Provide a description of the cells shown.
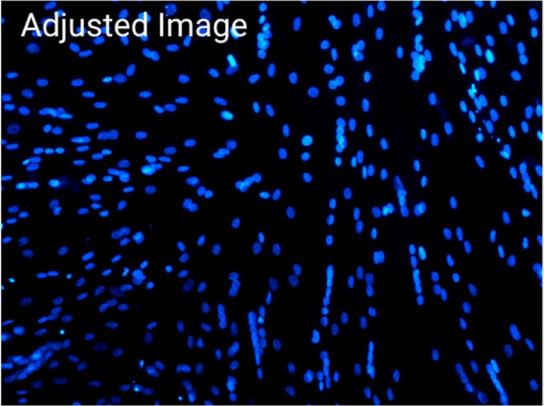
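The field shows many nuclei stained bright blue against a dark background. They are small, oval and fairly uniform in size, most lying apart from one another. In several places they are lined up end to end in rows, and a few appear brighter and more rounded than the rest.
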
